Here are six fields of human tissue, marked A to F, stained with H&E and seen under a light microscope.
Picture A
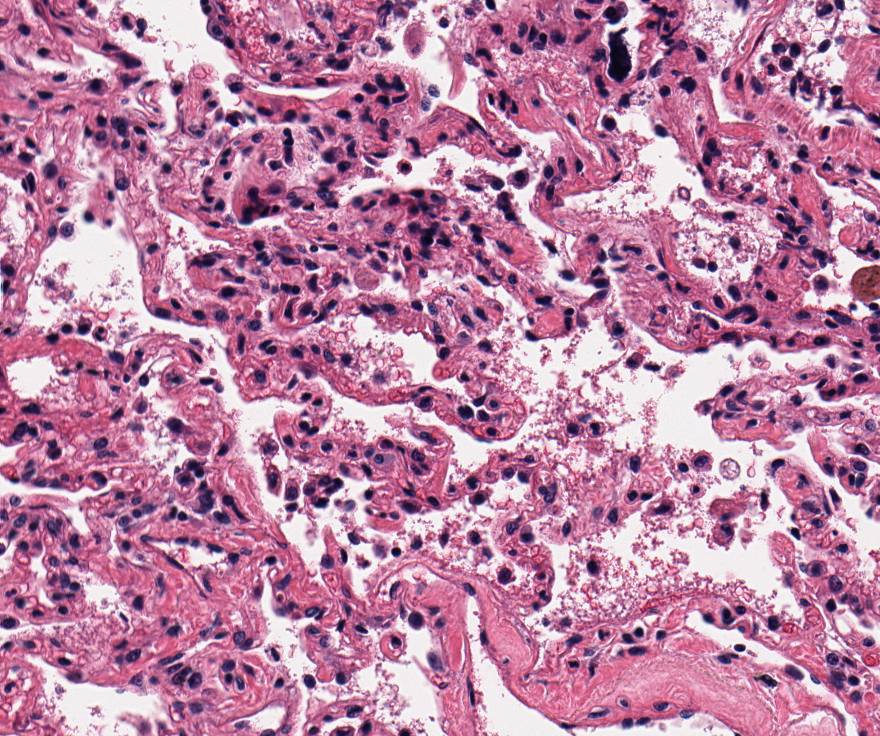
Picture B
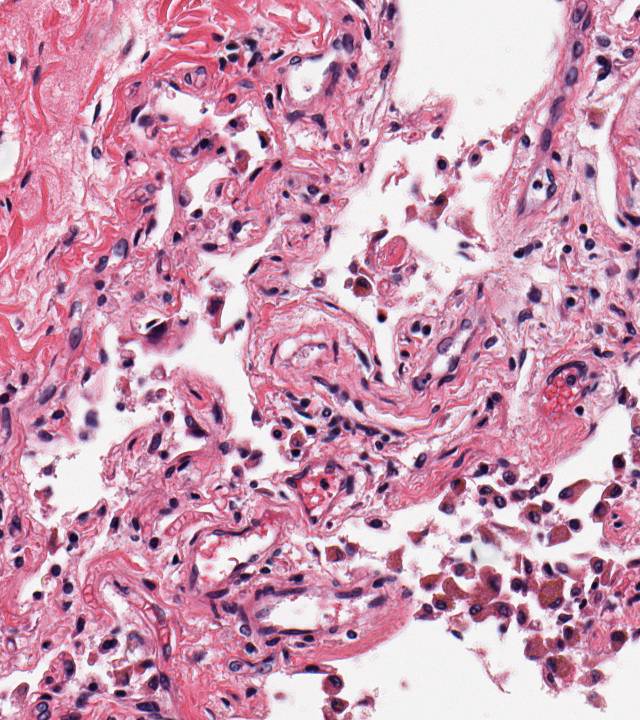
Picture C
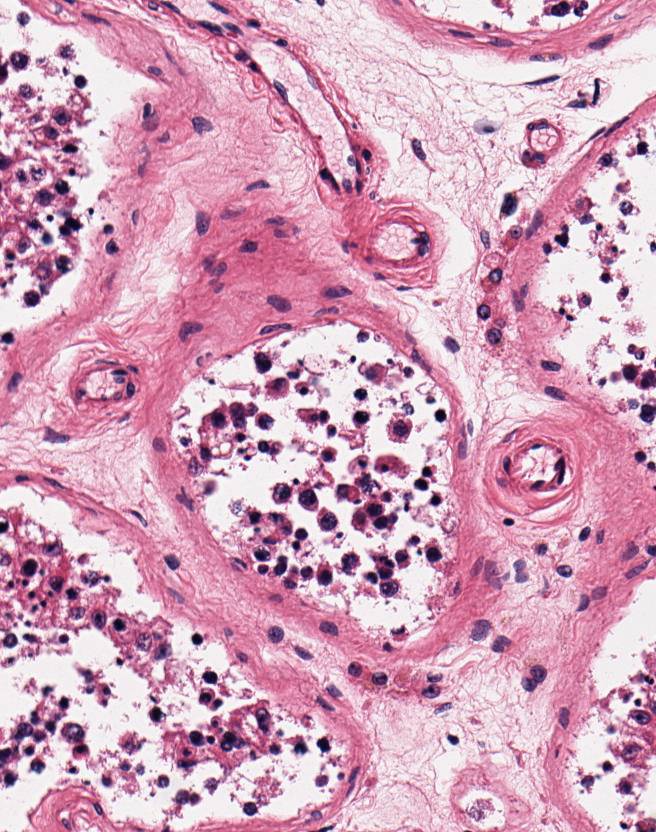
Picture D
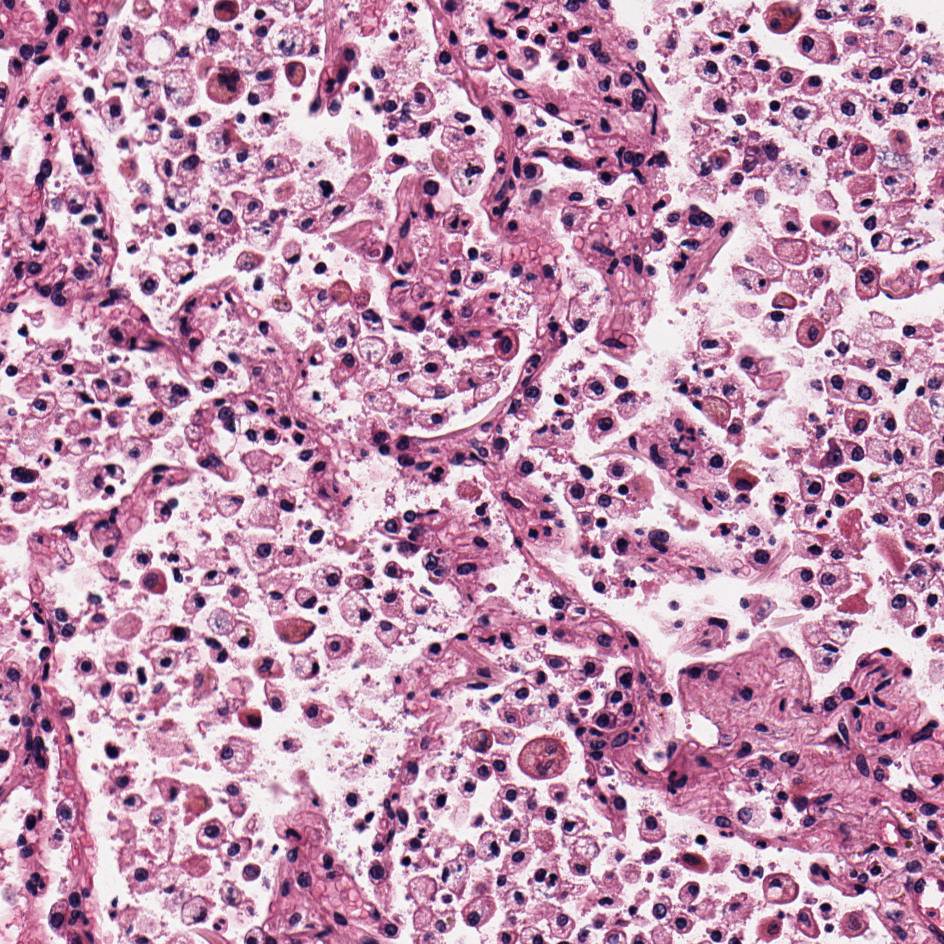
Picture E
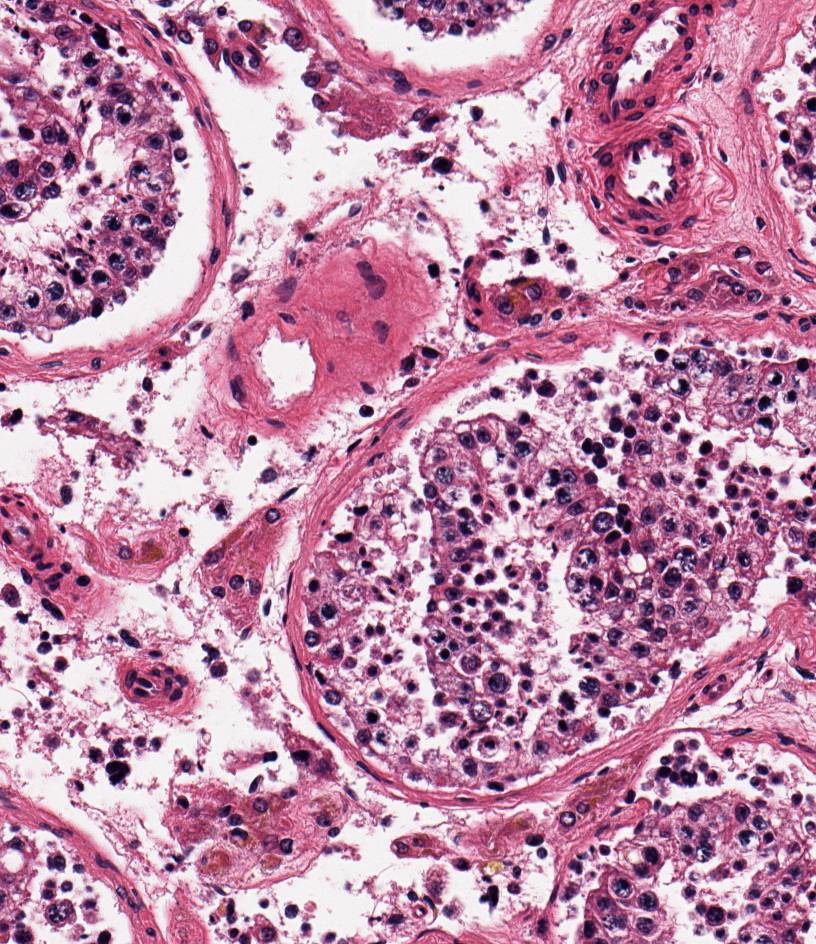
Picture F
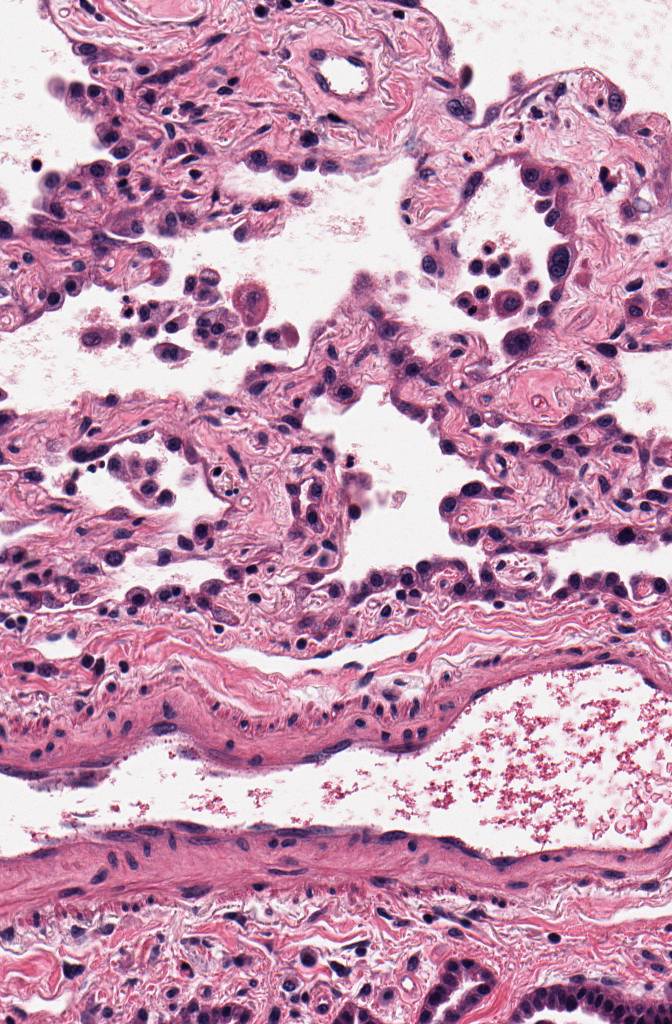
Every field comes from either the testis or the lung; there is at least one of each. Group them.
A: lung
B: lung
C: testis
D: lung
E: testis
F: lung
